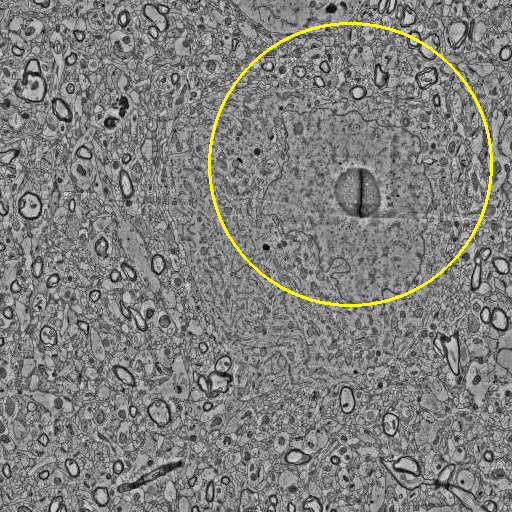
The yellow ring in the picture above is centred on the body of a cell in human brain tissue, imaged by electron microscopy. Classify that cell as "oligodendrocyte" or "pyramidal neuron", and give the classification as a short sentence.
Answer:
The cell in the middle of the ring is a pyramidal neuron.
